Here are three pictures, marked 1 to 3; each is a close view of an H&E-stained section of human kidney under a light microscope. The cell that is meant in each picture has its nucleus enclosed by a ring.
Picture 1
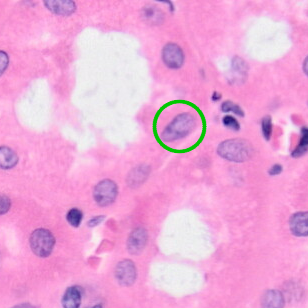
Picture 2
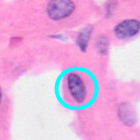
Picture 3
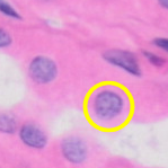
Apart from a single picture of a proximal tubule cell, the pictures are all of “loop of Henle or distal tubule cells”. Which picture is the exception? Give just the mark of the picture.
1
